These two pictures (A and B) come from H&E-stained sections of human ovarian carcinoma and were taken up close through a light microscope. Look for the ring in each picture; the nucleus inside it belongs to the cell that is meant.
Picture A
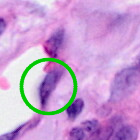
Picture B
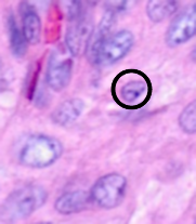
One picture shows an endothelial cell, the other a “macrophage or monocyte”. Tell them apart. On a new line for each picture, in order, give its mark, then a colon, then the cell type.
A: endothelial cell
B: macrophage or monocyte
